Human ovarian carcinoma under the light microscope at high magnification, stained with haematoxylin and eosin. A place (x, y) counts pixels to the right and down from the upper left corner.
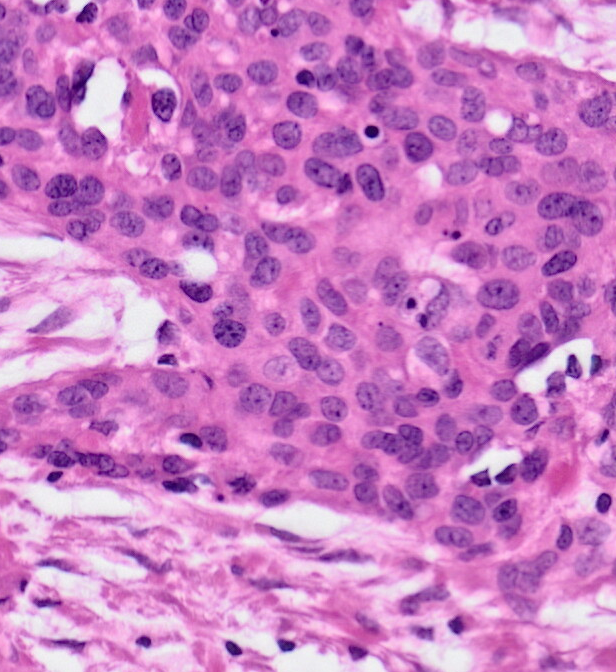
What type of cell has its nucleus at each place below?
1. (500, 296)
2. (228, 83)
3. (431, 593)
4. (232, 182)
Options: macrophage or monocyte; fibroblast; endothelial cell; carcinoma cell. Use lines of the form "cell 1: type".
cell 1: carcinoma cell
cell 2: carcinoma cell
cell 3: fibroblast
cell 4: carcinoma cell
